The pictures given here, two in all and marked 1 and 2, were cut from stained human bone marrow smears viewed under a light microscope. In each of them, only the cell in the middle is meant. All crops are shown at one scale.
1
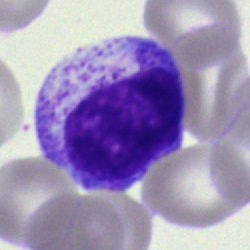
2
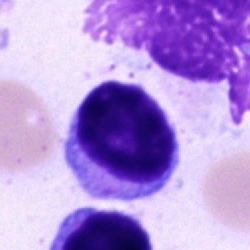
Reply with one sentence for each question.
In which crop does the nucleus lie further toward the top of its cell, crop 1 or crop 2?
Seen within its cell, the nucleus in crop 2 lies further toward the top.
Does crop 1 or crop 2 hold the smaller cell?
It is the cell in crop 2; the cell in crop 1 has about 1.5 times its area.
